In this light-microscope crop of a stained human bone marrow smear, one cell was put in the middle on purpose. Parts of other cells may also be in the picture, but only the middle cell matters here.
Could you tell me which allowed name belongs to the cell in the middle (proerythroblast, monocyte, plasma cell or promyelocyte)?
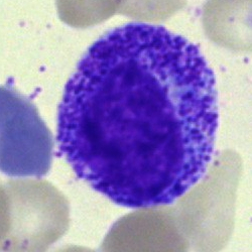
promyelocyte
